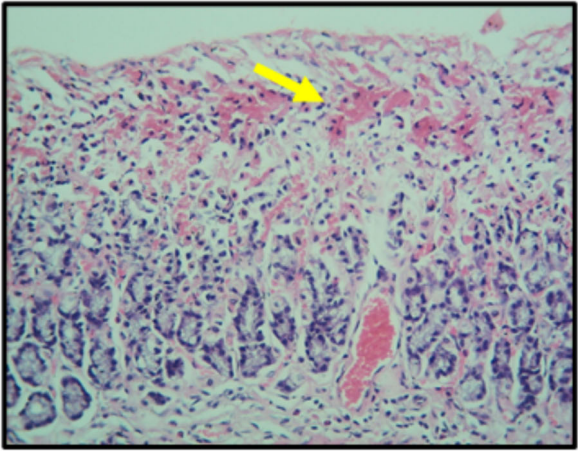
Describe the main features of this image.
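This is gastric mucosa whose deeper part still holds rounded glands lined by cells with purple nuclei. The superficial mucosa is disordered and loosened, with irregular patches of bright red material lying among scattered cells. Between the glands in the lower middle, a vessel is packed with red blood cells.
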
